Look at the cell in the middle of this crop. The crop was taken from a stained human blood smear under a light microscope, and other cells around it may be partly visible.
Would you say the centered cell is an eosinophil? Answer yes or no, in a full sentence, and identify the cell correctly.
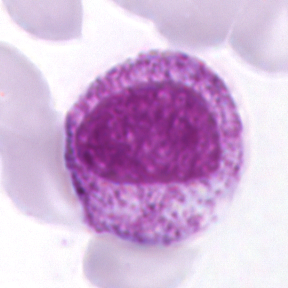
No, a myelocyte, not an eosinophil, is what sits in the centre of the crop.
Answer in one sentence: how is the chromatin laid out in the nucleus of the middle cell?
Answer: the chromatin is fine and has no coarse clumps.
